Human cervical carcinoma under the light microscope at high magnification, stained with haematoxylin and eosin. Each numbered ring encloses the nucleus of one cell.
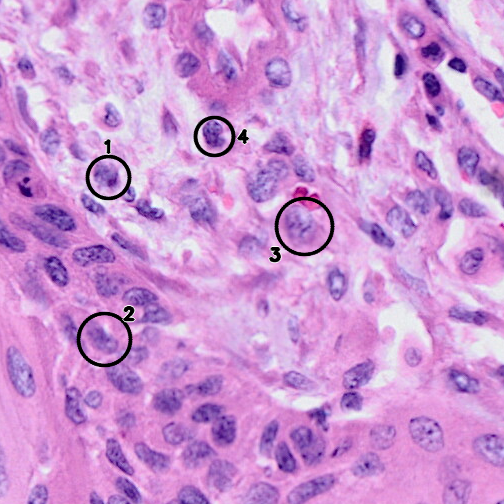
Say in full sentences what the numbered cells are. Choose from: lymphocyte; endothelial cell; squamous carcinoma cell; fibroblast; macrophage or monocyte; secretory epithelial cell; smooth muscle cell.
Cell 1 is a fibroblast. Cell 2 is a squamous carcinoma cell. Cell 3 is an endothelial cell. Cell 4 is a lymphocyte.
